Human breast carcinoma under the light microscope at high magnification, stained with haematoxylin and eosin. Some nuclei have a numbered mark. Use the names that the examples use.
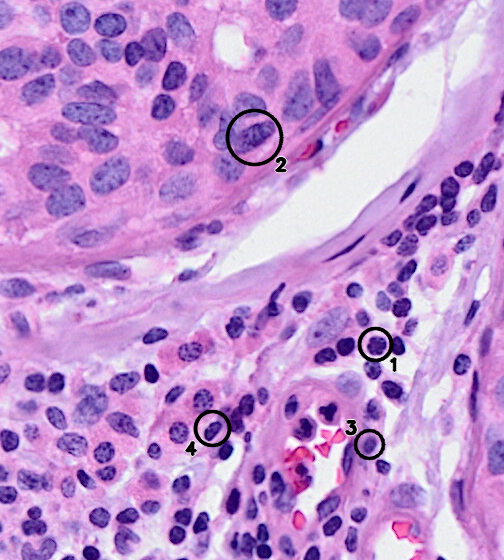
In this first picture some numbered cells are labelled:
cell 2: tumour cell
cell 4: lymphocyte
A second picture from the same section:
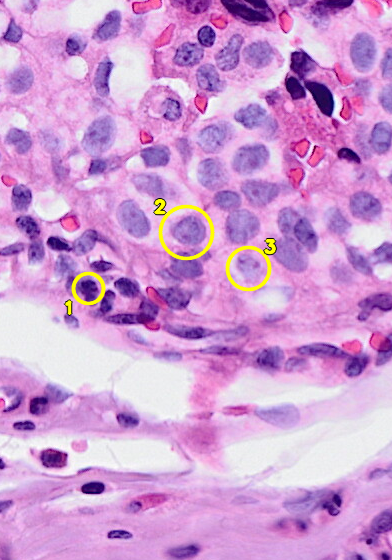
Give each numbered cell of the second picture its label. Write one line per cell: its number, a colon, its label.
1: lymphocyte
2: tumour cell
3: tumour cell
